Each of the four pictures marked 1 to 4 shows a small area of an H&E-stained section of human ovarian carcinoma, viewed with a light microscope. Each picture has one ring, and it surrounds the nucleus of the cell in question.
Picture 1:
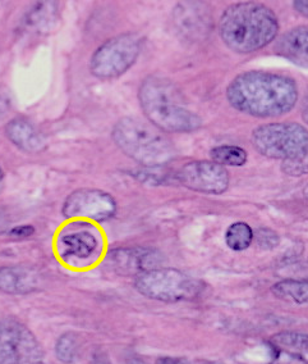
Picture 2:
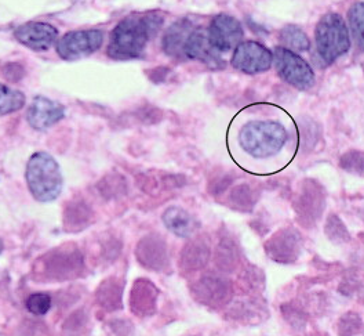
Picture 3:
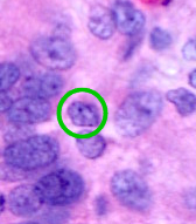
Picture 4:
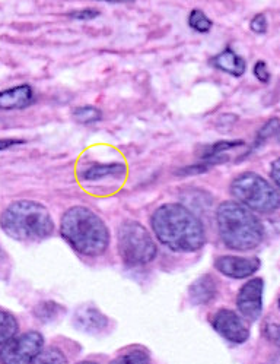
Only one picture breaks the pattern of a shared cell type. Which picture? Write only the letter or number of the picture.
4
